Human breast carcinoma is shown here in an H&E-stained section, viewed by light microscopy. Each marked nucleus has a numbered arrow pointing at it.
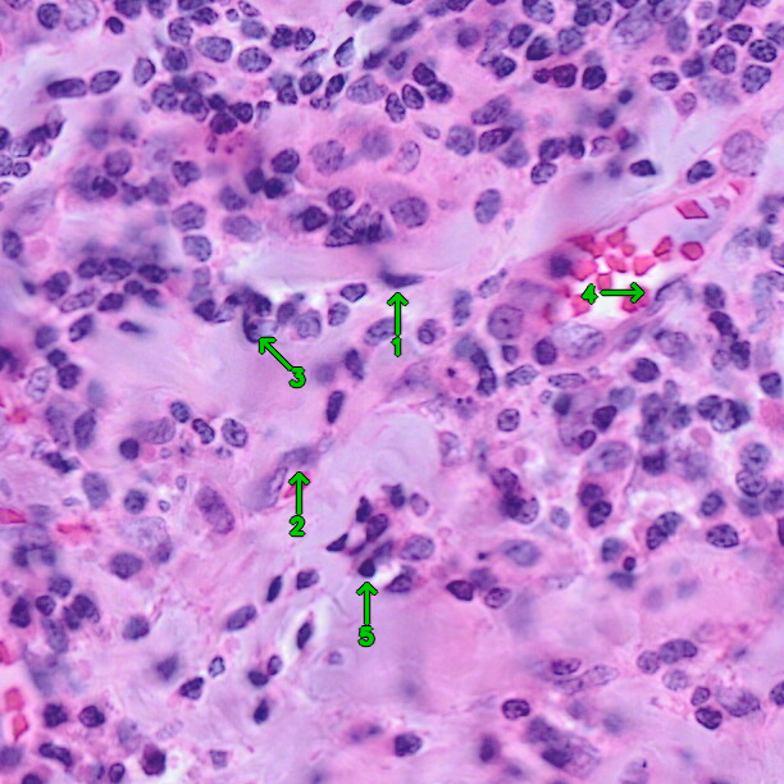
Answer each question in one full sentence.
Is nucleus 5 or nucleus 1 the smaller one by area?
It is nucleus 5; nucleus 1 has about 2 times its area.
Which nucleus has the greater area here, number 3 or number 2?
Nucleus 2 covers more area, about 1.5 times as much as nucleus 3.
